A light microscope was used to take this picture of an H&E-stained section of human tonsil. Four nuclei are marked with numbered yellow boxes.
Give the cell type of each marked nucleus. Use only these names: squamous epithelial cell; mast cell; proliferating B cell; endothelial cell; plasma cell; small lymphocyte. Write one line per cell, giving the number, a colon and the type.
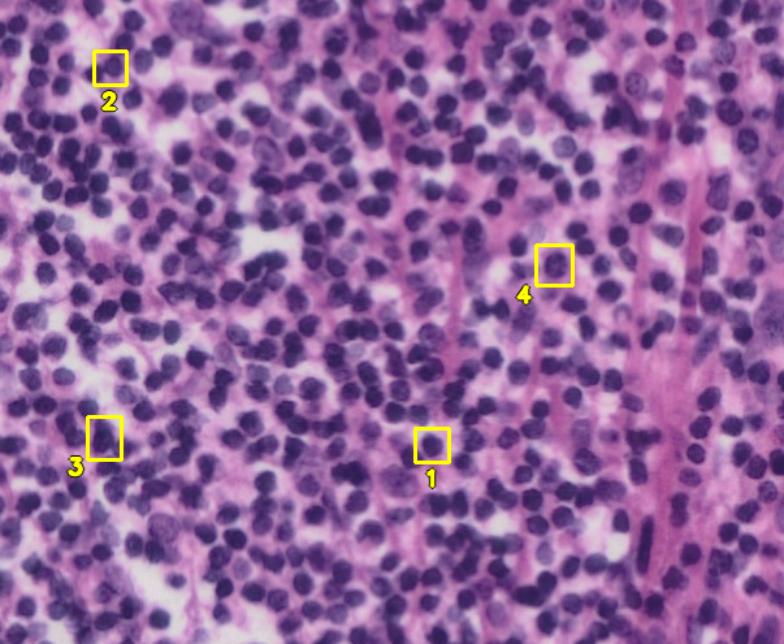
1: small lymphocyte
2: small lymphocyte
3: small lymphocyte
4: plasma cell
